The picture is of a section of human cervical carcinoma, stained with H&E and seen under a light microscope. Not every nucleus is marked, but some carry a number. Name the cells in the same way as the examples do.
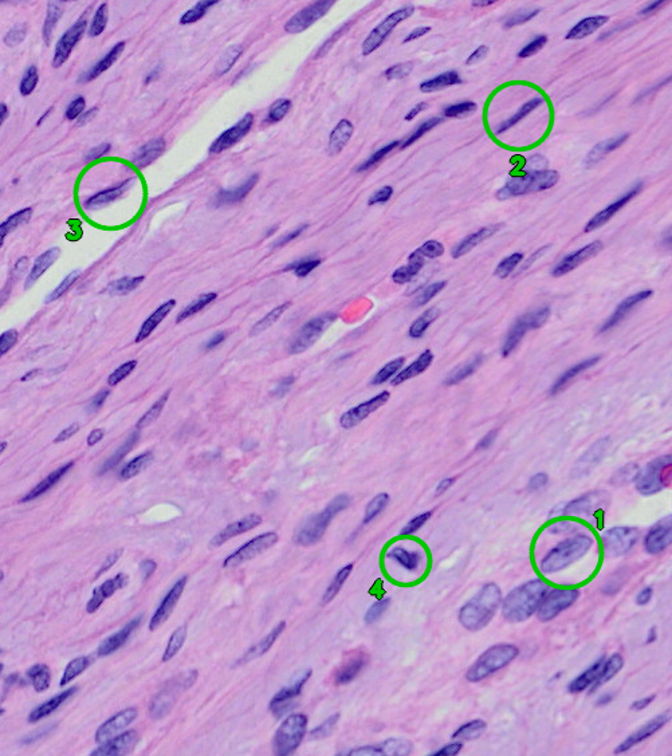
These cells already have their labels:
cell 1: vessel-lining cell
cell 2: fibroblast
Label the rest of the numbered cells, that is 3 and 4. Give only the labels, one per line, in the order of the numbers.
vessel-lining cell
fibroblast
